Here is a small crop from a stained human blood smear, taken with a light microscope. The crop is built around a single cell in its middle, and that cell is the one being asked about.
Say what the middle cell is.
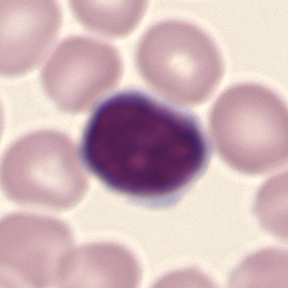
typical lymphocyte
